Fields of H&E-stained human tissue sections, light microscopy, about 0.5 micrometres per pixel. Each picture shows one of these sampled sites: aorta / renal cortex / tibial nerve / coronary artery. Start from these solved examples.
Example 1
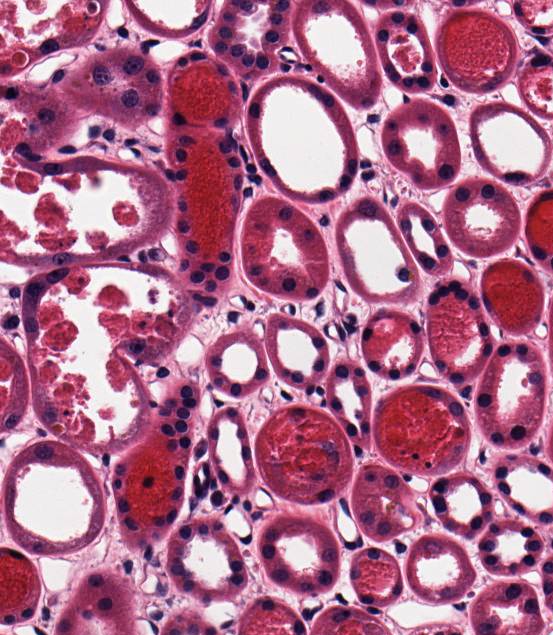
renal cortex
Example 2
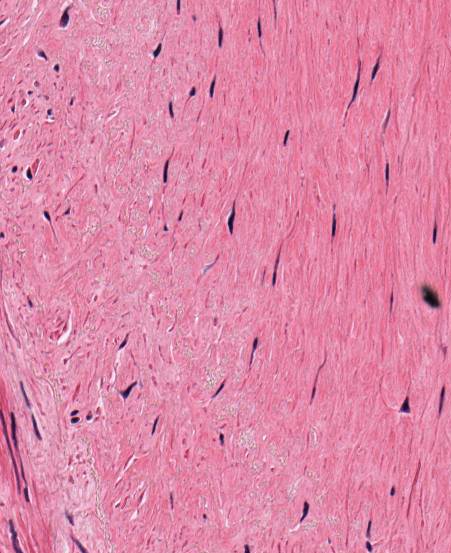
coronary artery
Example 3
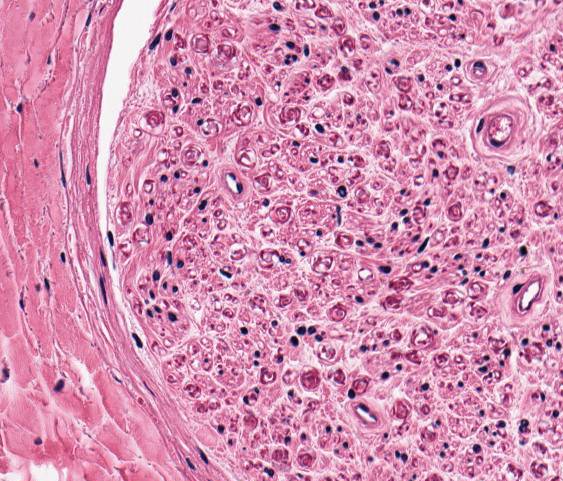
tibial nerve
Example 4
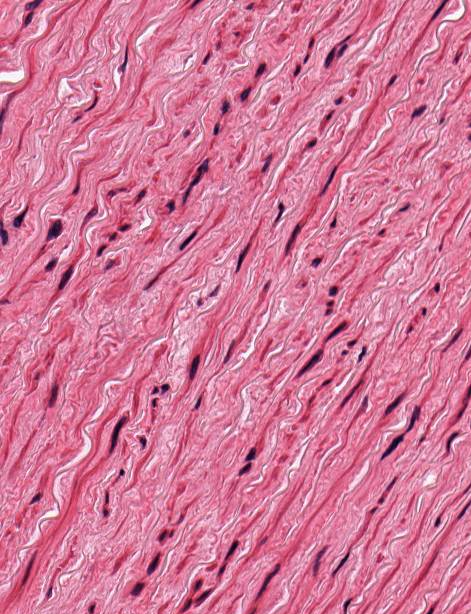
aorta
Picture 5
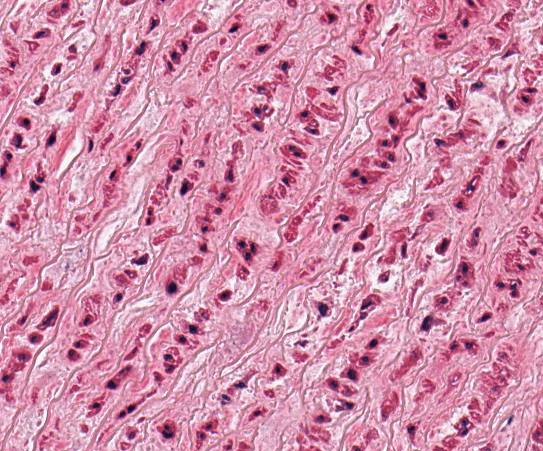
aorta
